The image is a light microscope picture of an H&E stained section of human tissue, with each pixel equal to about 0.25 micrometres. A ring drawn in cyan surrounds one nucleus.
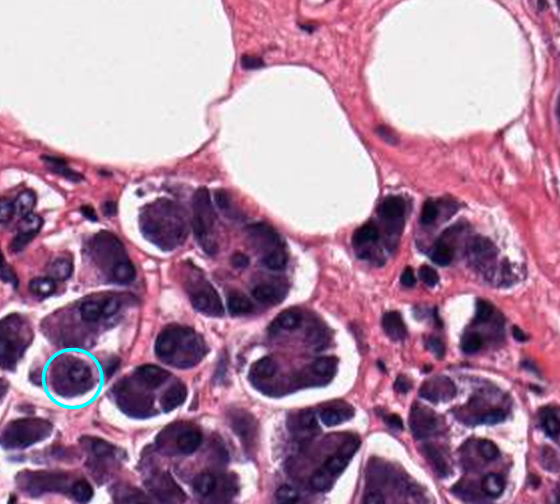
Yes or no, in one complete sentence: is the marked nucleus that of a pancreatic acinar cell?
Yes, here the marked nucleus belongs to a pancreatic acinar cell.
